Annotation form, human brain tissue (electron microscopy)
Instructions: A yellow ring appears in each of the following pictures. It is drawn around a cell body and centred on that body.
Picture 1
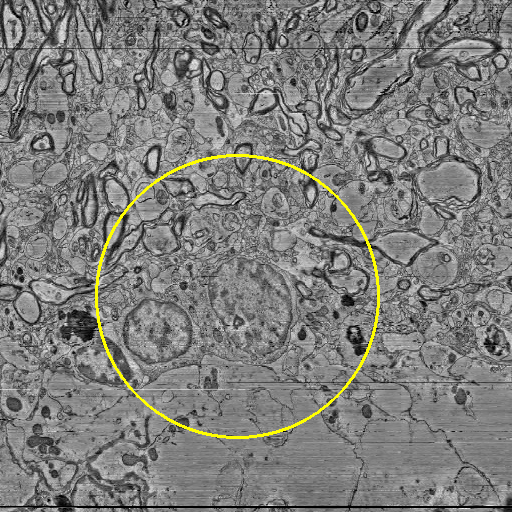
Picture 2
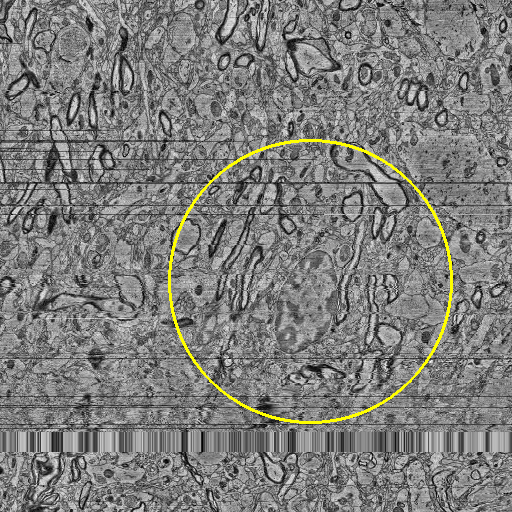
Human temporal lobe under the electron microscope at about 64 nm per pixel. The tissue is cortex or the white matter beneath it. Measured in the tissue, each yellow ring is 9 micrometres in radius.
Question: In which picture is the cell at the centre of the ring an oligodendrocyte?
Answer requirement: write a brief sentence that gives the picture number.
The cell at the centre of the ring in Picture 1 is the one asked for.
